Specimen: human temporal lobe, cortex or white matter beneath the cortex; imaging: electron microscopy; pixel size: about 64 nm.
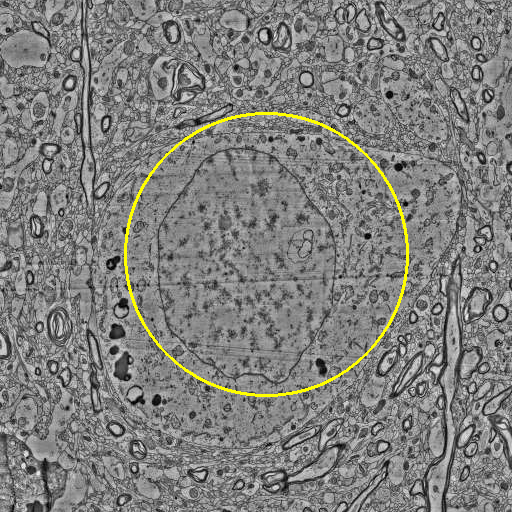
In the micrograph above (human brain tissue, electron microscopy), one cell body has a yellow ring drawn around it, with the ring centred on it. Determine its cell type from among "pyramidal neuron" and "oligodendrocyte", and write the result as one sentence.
The cell whose body is ringed is a pyramidal neuron.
